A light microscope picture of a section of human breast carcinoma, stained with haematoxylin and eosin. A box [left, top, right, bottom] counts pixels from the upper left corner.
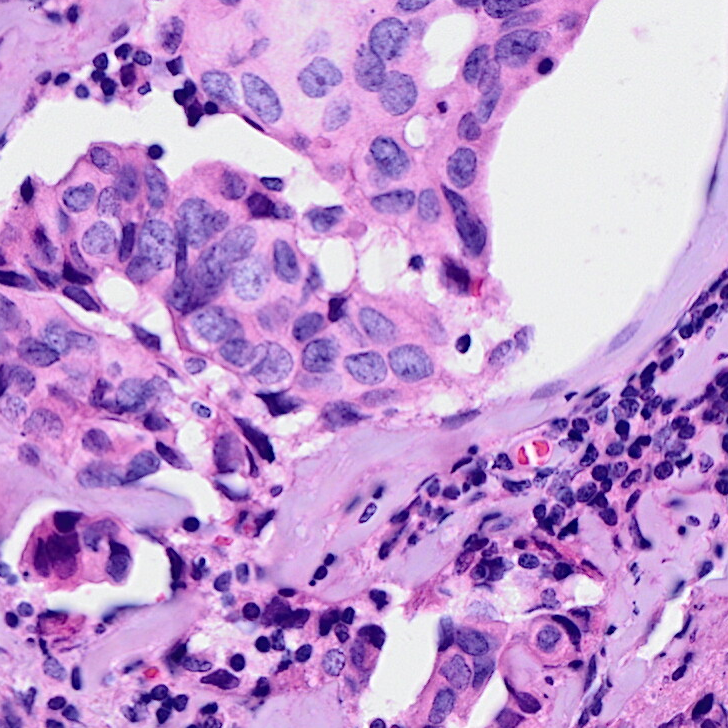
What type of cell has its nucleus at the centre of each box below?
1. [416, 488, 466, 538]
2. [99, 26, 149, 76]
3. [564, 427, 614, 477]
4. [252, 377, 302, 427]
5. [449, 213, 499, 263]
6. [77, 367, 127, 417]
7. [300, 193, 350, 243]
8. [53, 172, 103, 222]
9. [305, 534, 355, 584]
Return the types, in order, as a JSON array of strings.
["lymphocyte", "lymphocyte", "lymphocyte", "carcinoma cell", "carcinoma cell", "carcinoma cell", "carcinoma cell", "carcinoma cell", "lymphocyte"]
